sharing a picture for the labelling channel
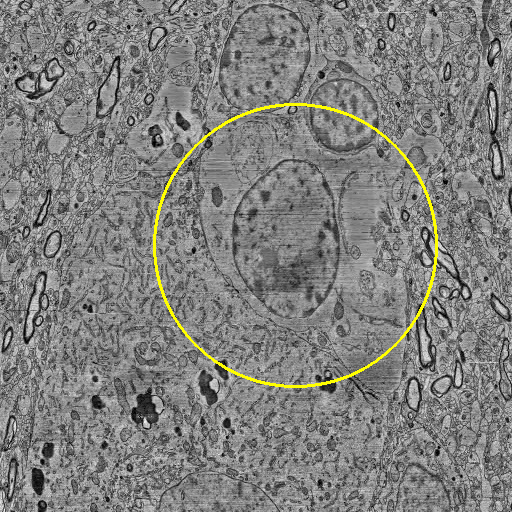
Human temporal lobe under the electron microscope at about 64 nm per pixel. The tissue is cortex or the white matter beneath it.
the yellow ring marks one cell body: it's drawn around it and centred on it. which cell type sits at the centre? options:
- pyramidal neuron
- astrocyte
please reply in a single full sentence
In the picture, the cell at the ring's centre is an astrocyte, going by the list.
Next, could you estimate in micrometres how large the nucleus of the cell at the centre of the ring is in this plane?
The nucleus is about 10 micrometres in length and 7 in width, clearly longer than it is wide in this plane.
